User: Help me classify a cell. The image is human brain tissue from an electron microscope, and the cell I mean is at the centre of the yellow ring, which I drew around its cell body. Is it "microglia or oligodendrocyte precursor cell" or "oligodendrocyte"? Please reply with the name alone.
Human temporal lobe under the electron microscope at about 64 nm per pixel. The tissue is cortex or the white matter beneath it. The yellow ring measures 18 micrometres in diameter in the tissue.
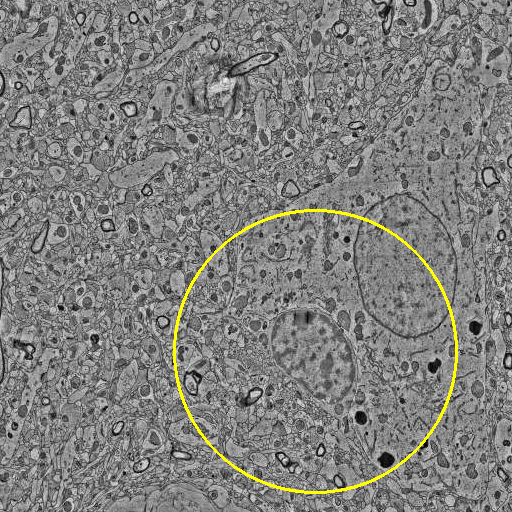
oligodendrocyte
